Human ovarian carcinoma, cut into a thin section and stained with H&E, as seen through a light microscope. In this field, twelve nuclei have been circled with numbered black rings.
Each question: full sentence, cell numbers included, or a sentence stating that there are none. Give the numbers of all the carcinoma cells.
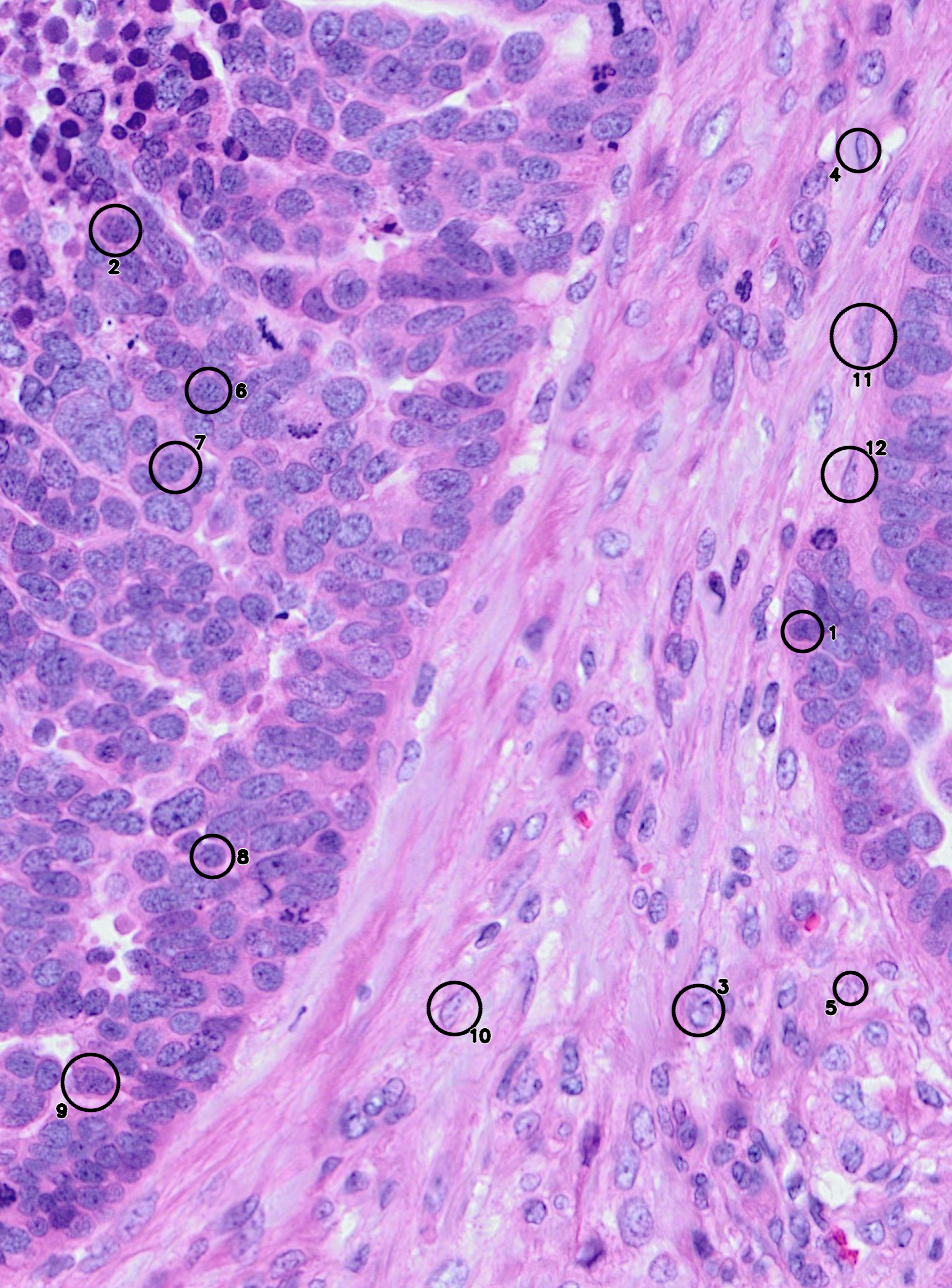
The numbers 1, 2, 6, 7, 8 and 9 in this section indicate carcinoma cells.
